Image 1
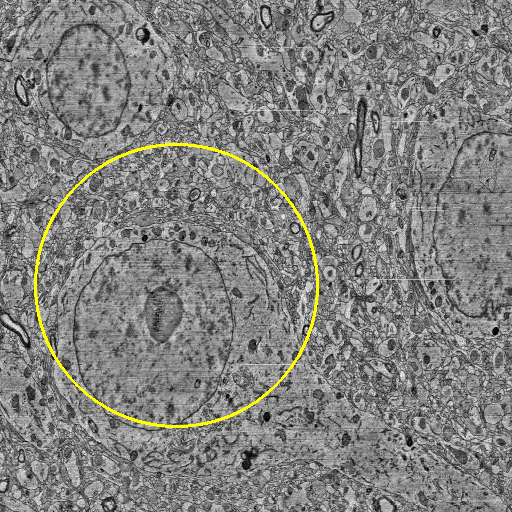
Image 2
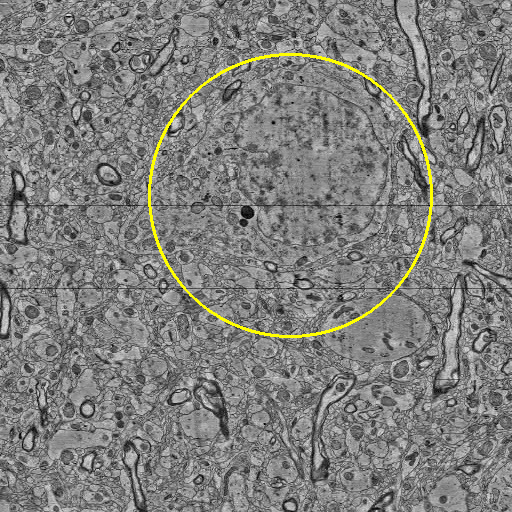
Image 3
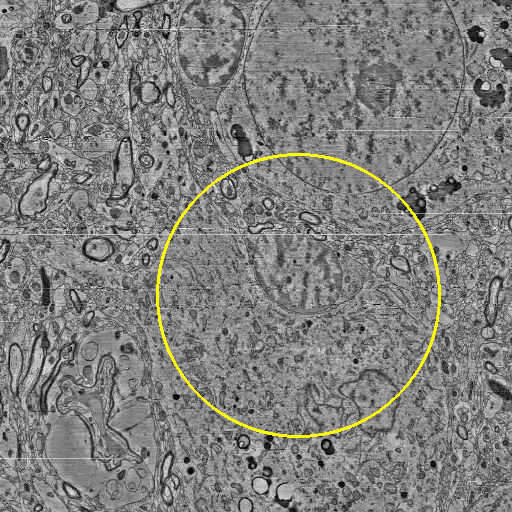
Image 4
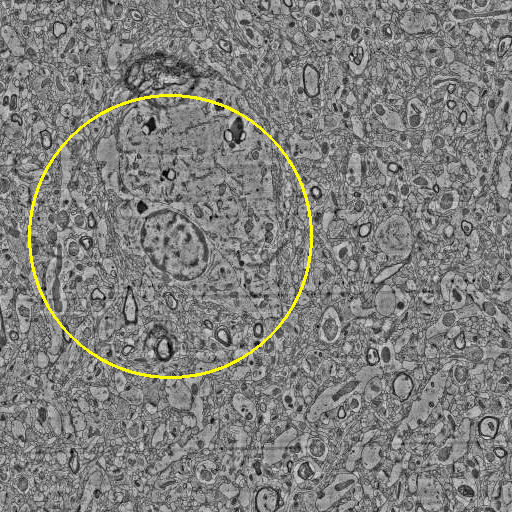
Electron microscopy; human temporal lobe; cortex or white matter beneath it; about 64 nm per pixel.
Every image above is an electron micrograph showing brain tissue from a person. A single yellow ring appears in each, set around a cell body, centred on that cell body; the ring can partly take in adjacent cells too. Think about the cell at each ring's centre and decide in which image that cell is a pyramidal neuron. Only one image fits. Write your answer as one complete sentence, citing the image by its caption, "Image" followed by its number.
Image 1 is the one whose ringed central cell fits the description.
